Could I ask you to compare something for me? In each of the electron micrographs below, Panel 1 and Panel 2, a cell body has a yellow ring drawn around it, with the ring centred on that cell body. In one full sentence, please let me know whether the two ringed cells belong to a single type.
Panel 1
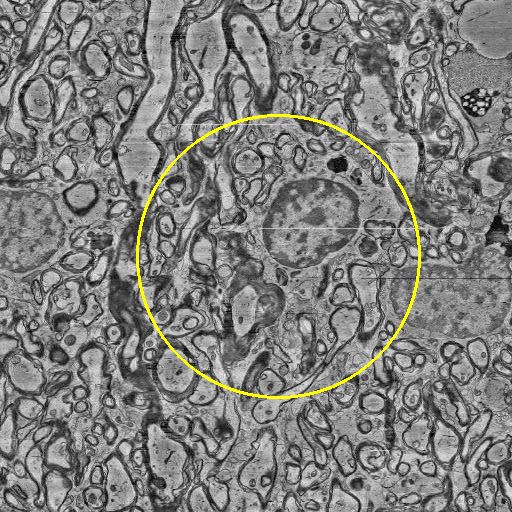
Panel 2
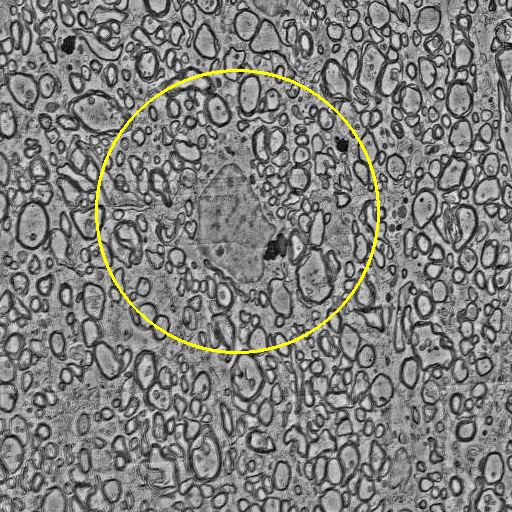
No, the two cells at the centres of the rings are of two types.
